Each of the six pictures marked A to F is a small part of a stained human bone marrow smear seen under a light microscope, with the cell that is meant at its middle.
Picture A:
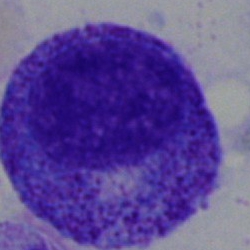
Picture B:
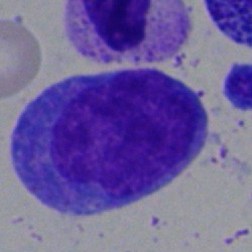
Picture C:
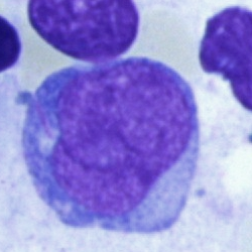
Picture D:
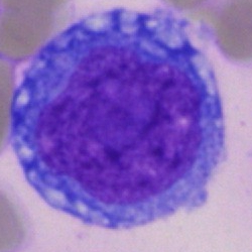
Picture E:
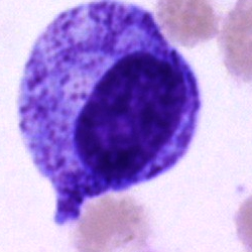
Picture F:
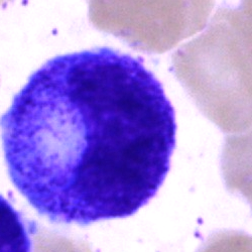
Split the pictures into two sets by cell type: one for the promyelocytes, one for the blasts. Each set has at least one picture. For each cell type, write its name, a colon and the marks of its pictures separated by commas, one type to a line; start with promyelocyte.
promyelocyte: A, B, E, F
blast: C, D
